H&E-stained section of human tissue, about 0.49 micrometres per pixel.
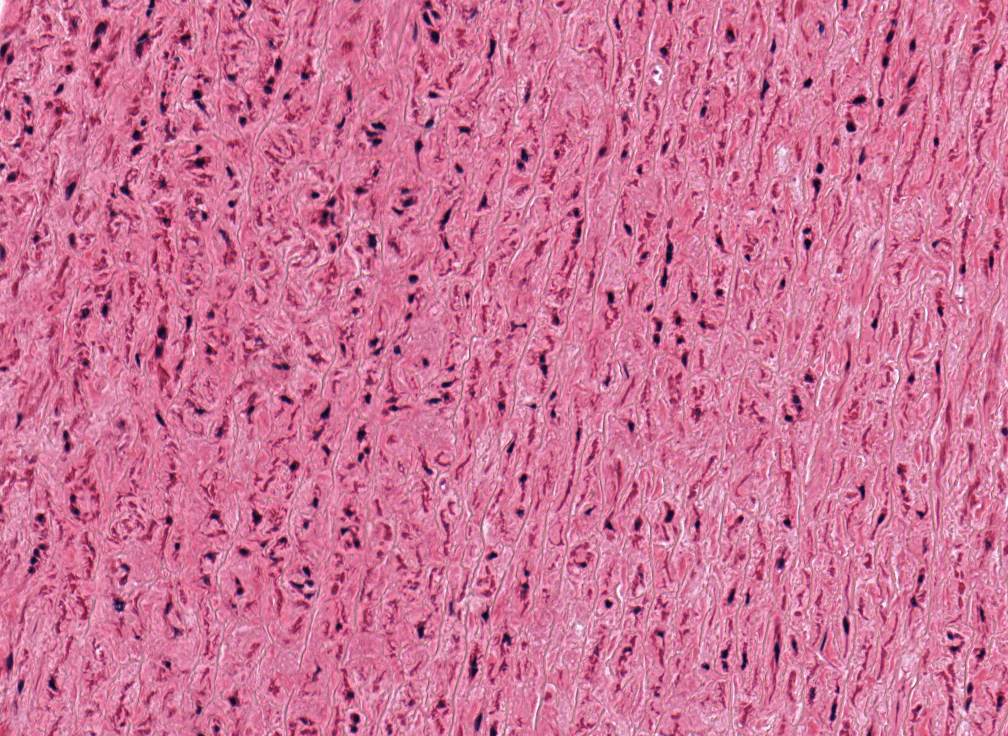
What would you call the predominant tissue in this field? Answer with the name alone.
tunica media of an artery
